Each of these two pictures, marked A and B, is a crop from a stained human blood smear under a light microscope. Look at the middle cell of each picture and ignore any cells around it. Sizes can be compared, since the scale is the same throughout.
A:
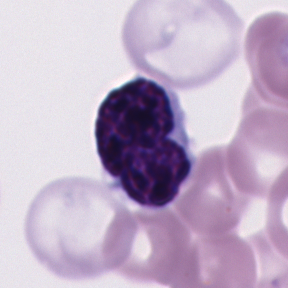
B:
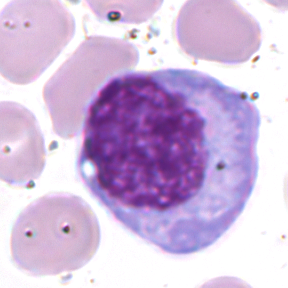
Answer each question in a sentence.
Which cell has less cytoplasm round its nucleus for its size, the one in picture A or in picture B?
It is the cell in picture A that is filled more by its nucleus.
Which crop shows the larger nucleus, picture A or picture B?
Picture B shows the larger nucleus; it covers about 1.5 times the area of the nucleus in picture A.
